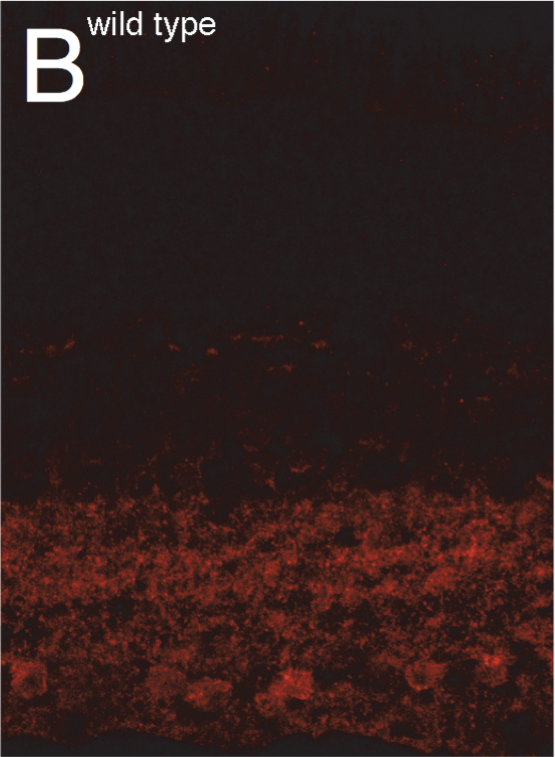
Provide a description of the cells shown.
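This is a cross-section through the retina, and the red label is concentrated in its inner part. A wide band of fine, granular red labeling fills the inner plexiform layer. The outer layers above are mostly dark, with only a faint dotted line of label higher up.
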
